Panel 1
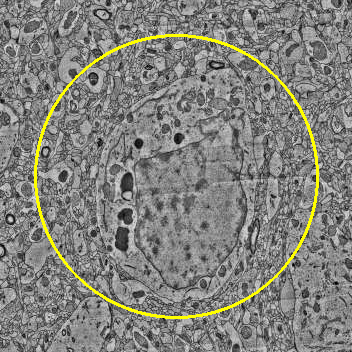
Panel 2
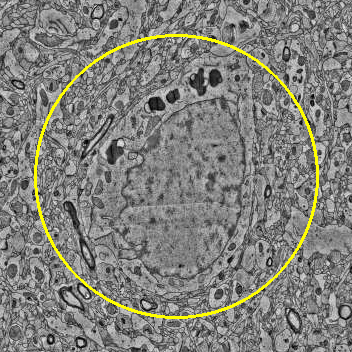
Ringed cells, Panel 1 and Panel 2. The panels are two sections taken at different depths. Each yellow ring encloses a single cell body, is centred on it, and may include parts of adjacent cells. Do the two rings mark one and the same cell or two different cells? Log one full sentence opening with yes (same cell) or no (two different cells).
No, the two rings enclose two cells that are not the same.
